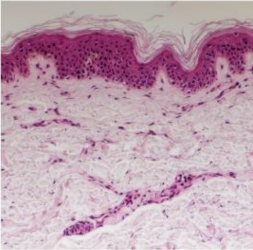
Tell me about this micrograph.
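This section of skin shows a stratified epidermis resting on a pale dermis. The epidermis is densely packed with purple nuclei, darkest along its base, and projects ridges down into the dermis, while a thin, wavy, flaky keratin layer covers its surface. The dermis below is made of loose, pale pink collagen bundles with scattered nuclei and small vessels lined by rows of dark nuclei.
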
